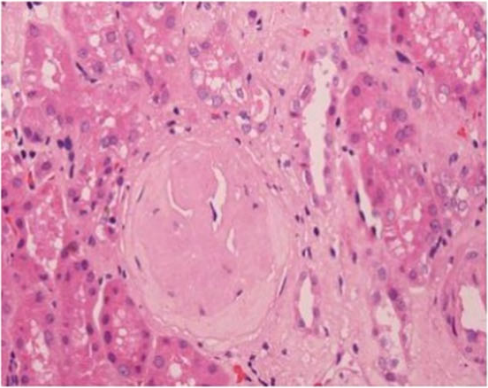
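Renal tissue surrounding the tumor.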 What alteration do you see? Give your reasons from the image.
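A round structure in the centre is filled with pale, homogeneous pink material. This round structure holds almost no nuclei or open capillary spaces. It is surrounded by tubules with pink cytoplasm. That points to this answer: glomerulosclerosis.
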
